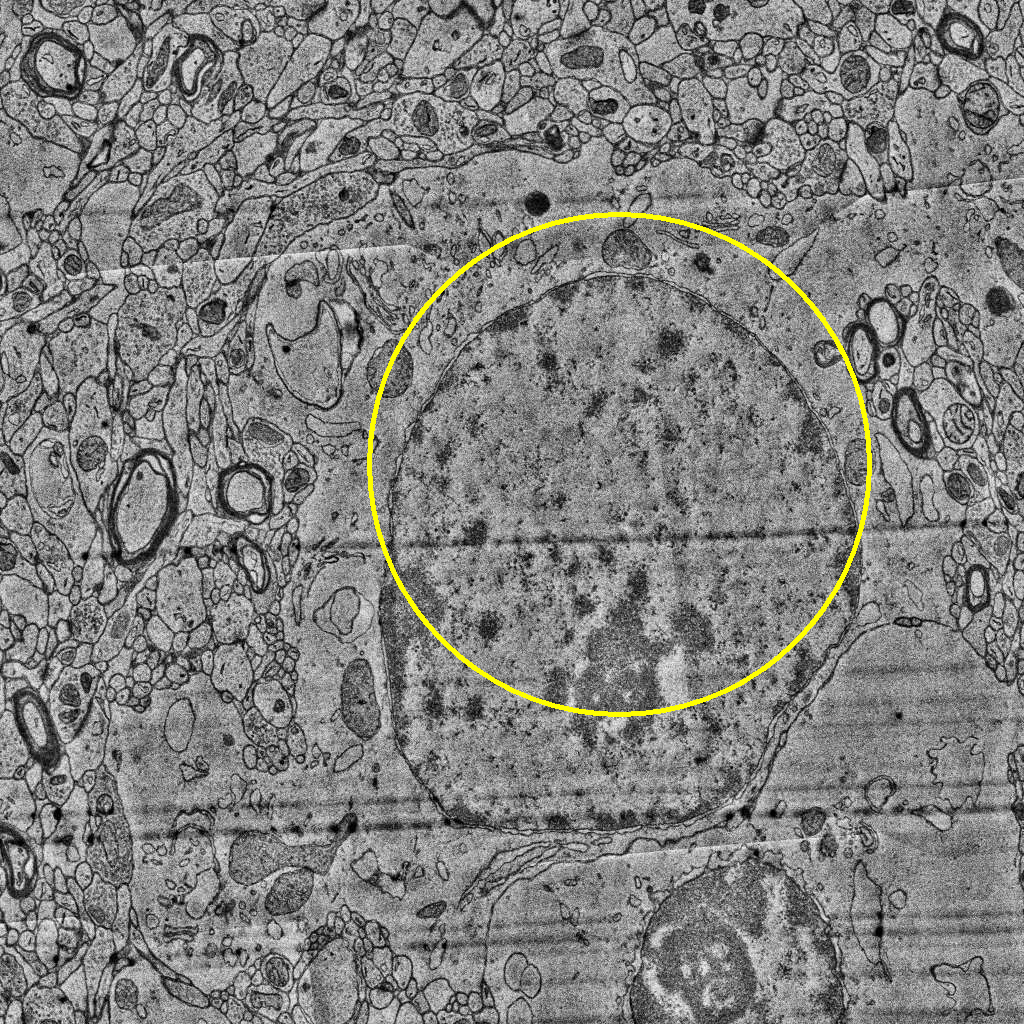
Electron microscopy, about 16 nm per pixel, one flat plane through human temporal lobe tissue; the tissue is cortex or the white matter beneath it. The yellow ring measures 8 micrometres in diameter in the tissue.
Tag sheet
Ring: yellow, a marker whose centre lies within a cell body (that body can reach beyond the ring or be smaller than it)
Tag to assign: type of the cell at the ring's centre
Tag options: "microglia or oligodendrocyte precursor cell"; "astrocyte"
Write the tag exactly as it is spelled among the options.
astrocyte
